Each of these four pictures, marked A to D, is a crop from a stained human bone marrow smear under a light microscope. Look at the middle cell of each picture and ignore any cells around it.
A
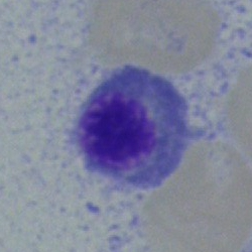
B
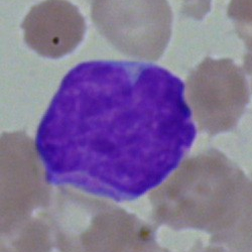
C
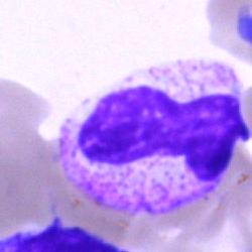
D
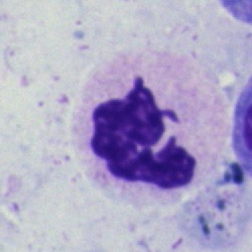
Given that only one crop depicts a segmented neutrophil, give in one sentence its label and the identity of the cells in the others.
The central cell of crop D is identified as a segmented neutrophil, while crop A is an erythroblast, crop B is a blast and crop C is a band neutrophil.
